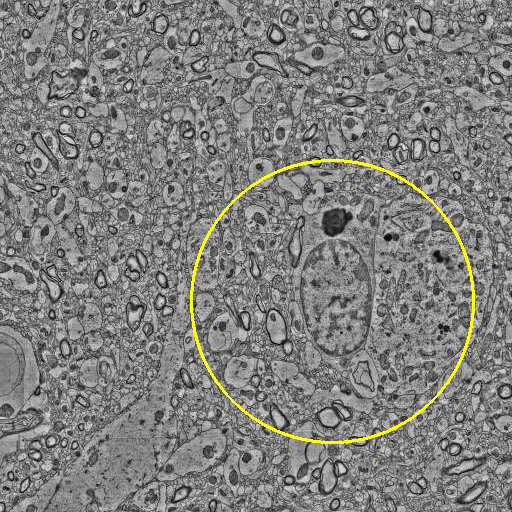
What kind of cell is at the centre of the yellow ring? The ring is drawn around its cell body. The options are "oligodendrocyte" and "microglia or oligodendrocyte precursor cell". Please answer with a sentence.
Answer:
The yellow ring marks the cell body of an oligodendrocyte.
